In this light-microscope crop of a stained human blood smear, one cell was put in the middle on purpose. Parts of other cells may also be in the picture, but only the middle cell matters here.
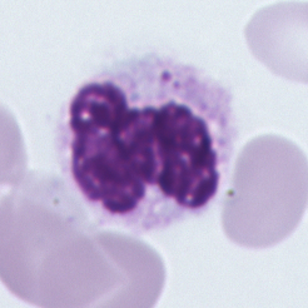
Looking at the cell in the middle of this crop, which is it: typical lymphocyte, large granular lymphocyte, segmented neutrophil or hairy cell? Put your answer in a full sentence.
The cell occupying the middle of the crop is a segmented neutrophil.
